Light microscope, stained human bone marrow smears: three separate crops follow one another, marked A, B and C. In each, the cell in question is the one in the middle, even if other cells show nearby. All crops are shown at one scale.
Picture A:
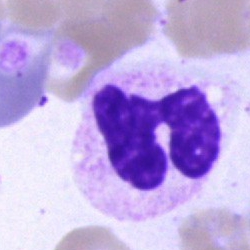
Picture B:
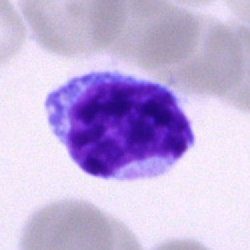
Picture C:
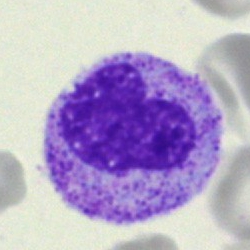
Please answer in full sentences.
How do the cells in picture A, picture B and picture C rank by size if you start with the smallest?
The order is B, A, C, beginning with the smallest.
